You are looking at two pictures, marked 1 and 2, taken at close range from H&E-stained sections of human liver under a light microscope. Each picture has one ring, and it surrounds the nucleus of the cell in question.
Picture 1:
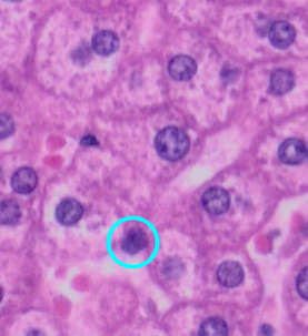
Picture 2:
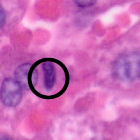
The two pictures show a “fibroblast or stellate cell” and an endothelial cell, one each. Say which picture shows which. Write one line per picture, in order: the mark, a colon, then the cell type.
1: endothelial cell
2: fibroblast or stellate cell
